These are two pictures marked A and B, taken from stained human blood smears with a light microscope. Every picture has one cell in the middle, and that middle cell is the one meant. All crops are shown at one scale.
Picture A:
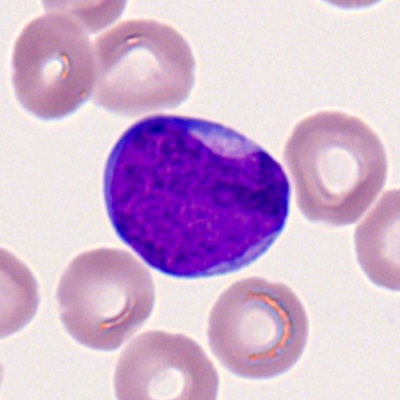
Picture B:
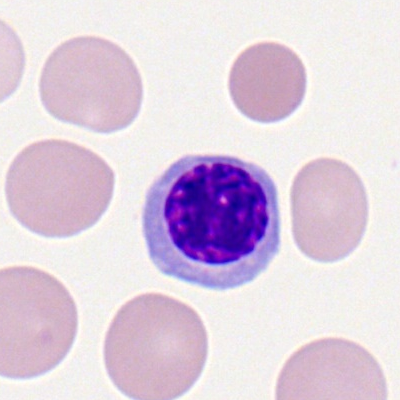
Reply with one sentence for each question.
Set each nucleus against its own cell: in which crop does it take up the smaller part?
It is the cell in picture B that is filled less by its nucleus.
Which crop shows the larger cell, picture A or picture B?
The cell in picture A is larger, with about 1.5 times the area of the one in picture B.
